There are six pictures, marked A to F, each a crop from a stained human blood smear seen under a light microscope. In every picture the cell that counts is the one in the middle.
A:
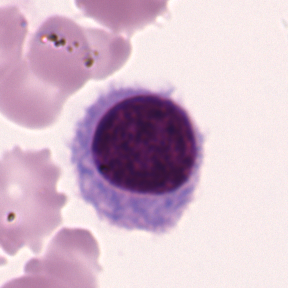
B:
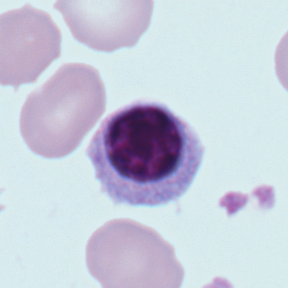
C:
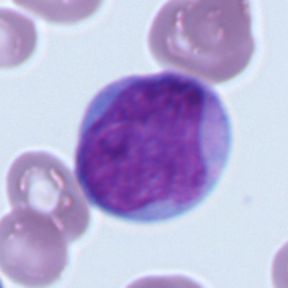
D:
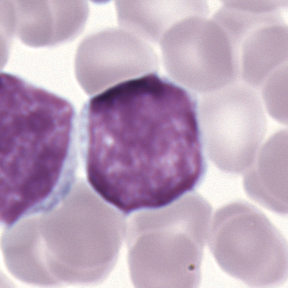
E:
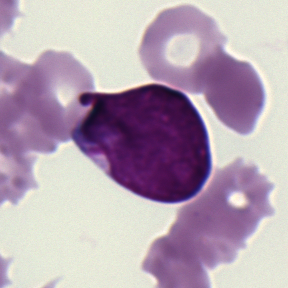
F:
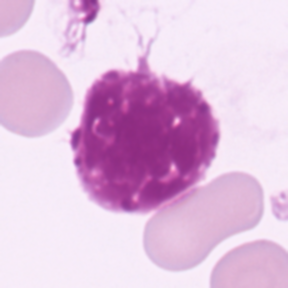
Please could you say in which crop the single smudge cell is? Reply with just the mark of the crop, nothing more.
F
